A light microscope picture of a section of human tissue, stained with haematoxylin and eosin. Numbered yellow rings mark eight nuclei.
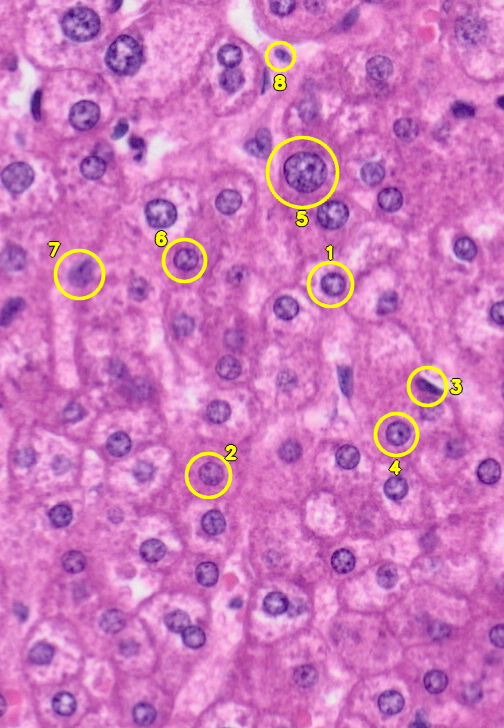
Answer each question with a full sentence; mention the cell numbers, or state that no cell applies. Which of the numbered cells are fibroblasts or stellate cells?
Just the cell marked 3 is a fibroblast or stellate cell; none of the other marked cells is.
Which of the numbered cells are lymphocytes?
Only the cell carrying number 8 is a lymphocyte.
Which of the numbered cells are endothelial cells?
Cell 7 is the only one of the numbered cells that is an endothelial cell.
